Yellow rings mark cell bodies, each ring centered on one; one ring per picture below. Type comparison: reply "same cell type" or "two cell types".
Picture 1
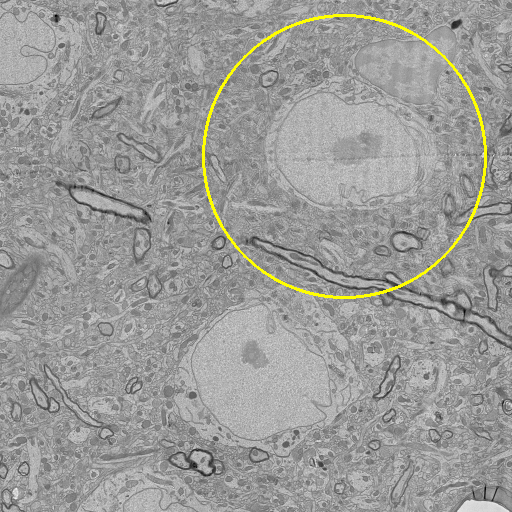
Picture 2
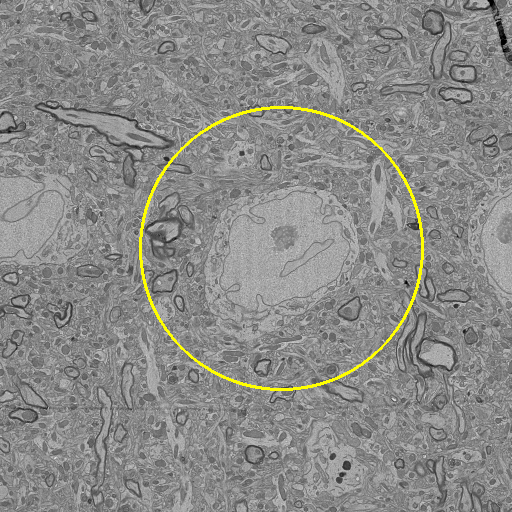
same cell type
